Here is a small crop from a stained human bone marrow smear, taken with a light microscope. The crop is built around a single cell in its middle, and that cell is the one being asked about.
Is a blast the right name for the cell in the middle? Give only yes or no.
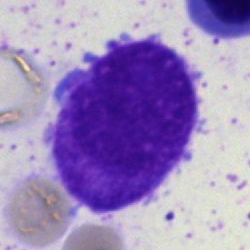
no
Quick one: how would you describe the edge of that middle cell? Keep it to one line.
In outline, the cell is irregular, ragged in stretches or drawn into projections.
